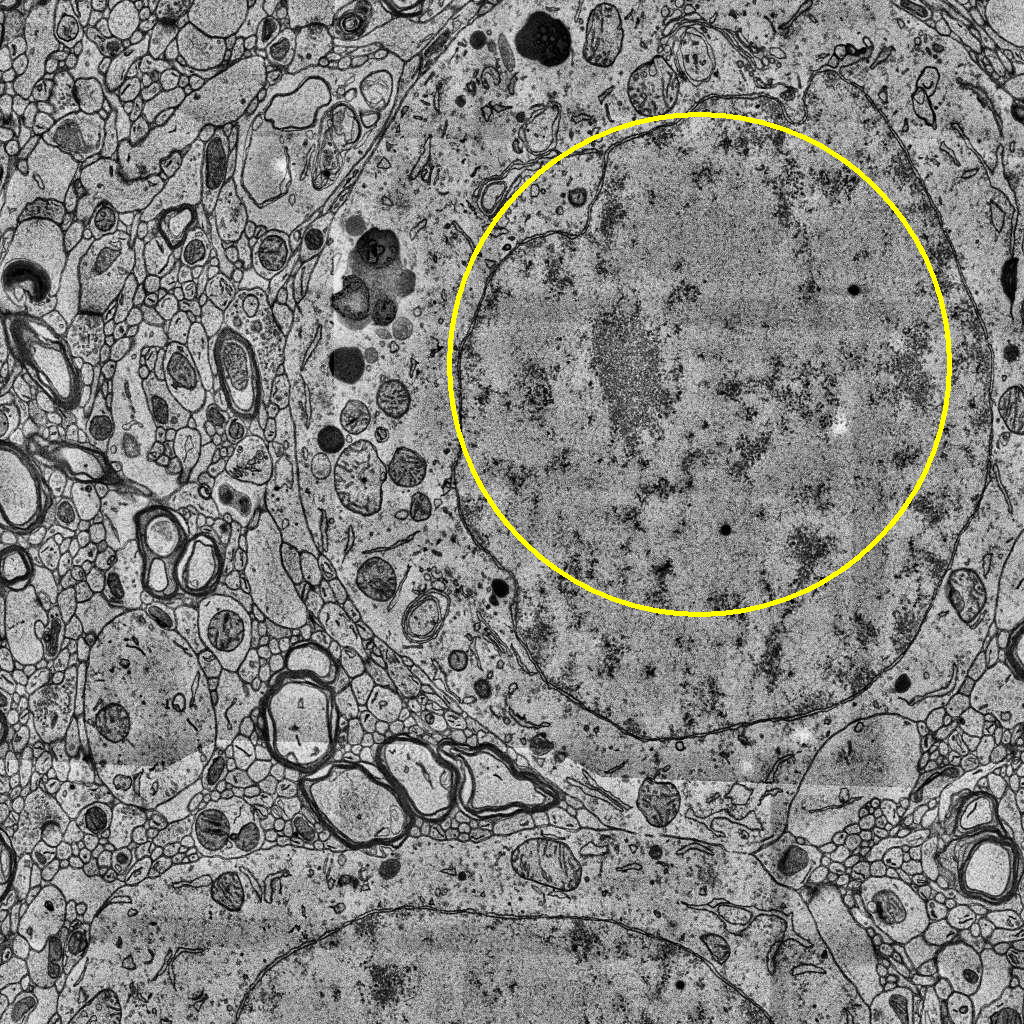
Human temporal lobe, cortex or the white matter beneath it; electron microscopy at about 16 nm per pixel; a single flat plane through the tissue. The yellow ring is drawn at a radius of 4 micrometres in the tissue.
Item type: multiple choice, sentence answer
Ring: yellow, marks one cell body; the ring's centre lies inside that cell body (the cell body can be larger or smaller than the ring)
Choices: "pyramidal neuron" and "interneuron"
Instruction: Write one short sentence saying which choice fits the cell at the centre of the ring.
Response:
The centre of this ring lies on a pyramidal neuron.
